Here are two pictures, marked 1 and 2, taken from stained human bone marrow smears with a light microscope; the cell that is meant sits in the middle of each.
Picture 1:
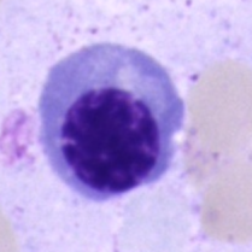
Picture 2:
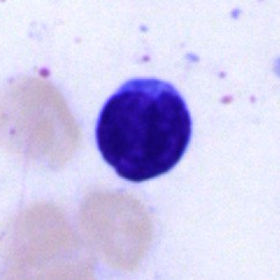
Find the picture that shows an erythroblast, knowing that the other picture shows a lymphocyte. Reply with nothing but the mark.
1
